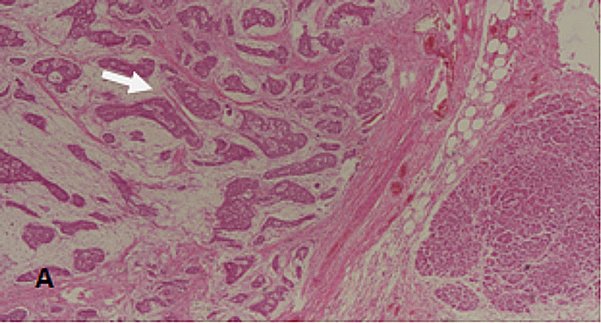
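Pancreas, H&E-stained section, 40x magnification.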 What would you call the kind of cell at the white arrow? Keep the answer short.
Neoplastic neuroendocrine cells.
